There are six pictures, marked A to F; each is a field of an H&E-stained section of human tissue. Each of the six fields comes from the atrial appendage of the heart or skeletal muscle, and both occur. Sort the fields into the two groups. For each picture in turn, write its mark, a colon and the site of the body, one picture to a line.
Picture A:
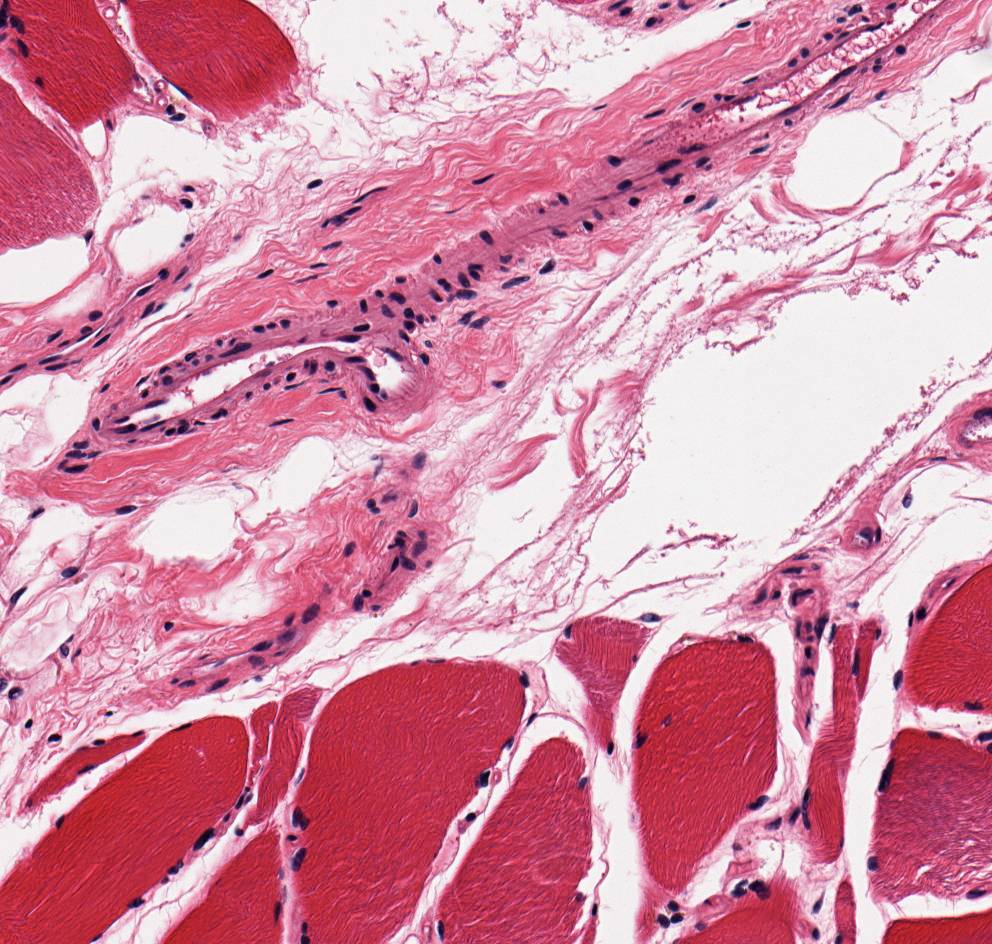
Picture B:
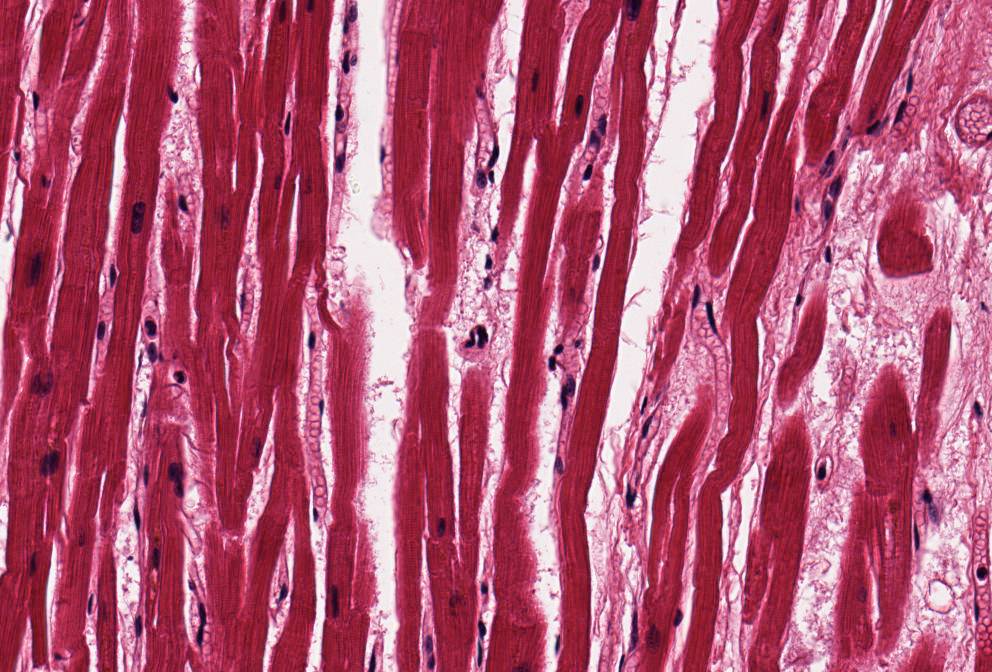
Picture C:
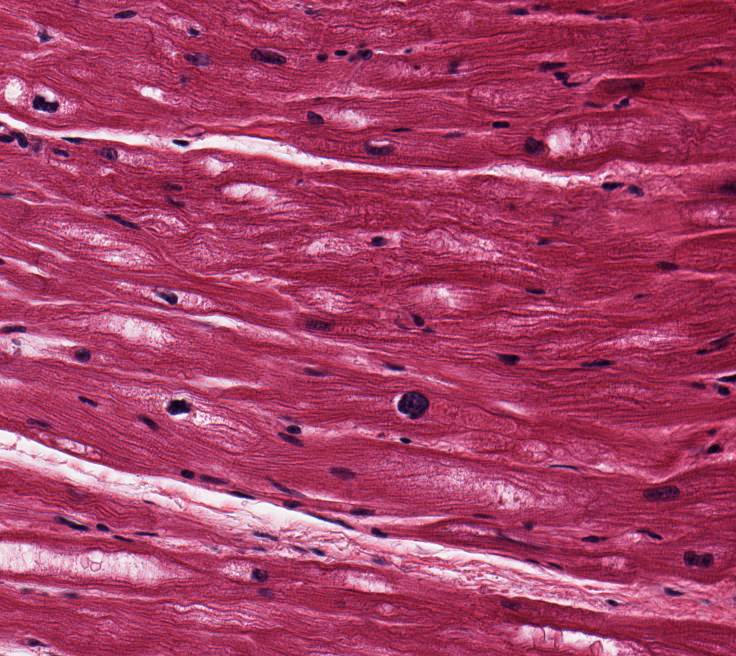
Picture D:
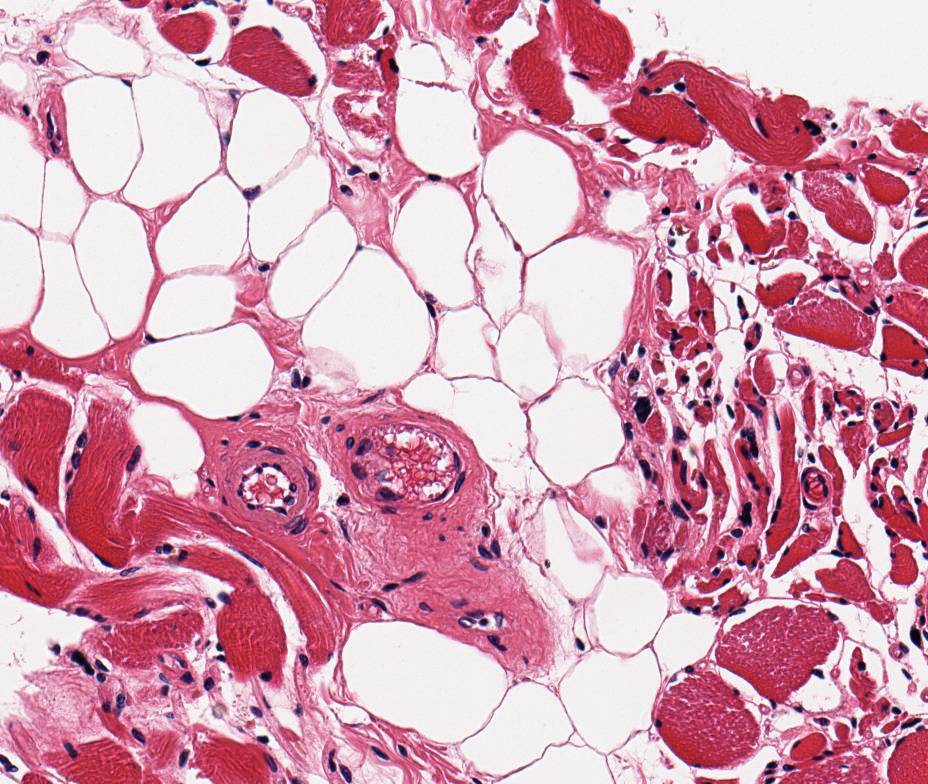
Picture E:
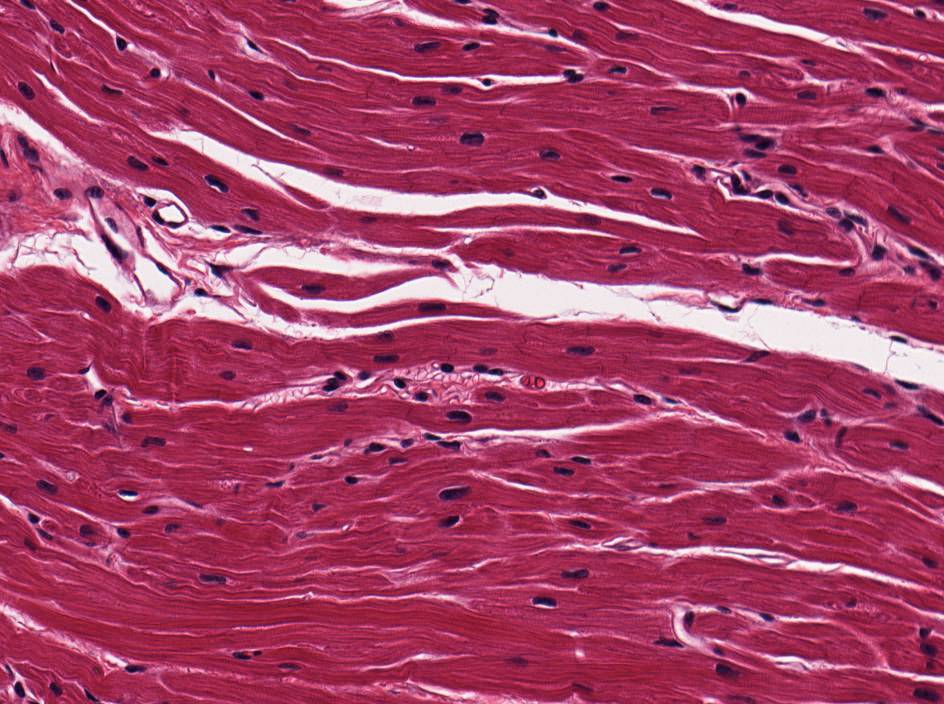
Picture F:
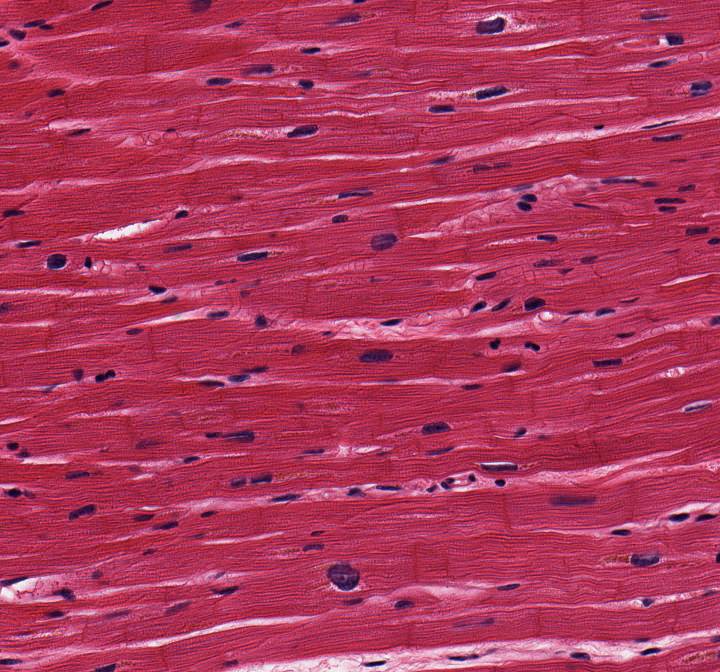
A: skeletal muscle
B: atrial appendage of the heart
C: atrial appendage of the heart
D: skeletal muscle
E: atrial appendage of the heart
F: atrial appendage of the heart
